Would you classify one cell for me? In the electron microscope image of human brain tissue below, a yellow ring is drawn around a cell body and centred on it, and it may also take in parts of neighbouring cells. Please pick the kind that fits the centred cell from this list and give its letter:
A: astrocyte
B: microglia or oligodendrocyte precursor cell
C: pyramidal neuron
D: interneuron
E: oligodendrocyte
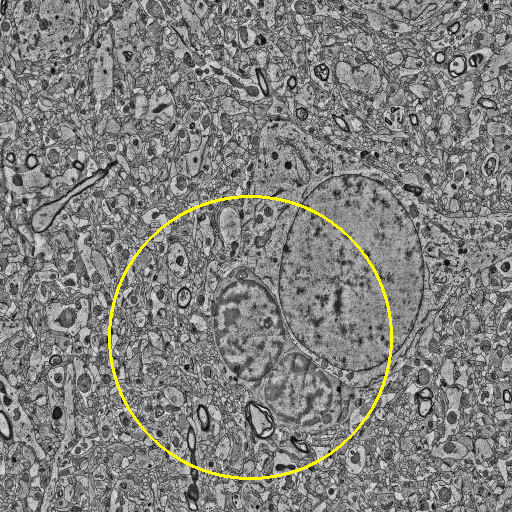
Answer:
E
